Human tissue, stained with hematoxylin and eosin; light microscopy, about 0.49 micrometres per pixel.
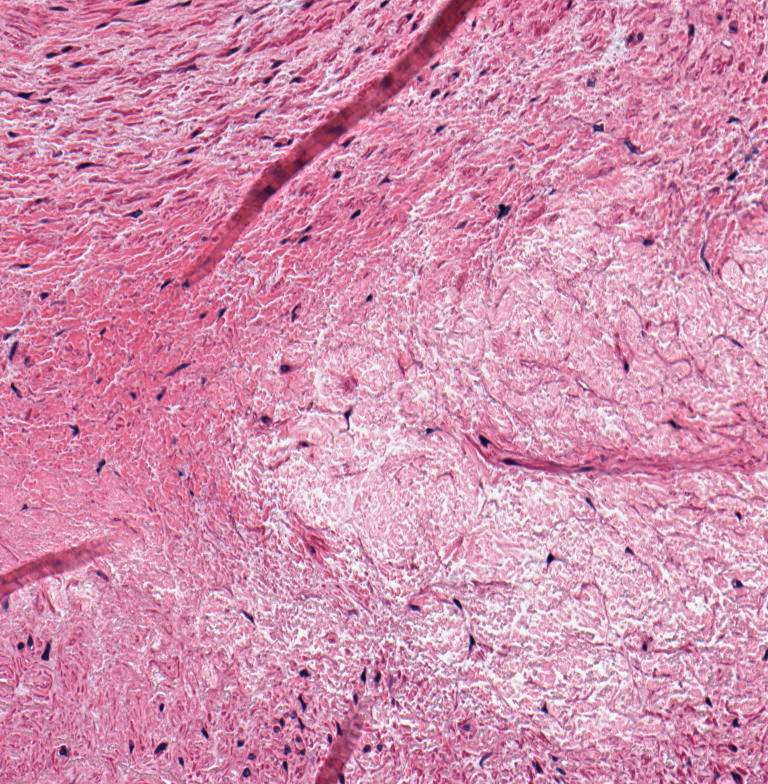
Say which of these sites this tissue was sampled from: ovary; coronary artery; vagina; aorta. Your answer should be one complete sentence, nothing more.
The tissue sample derives from the coronary artery.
